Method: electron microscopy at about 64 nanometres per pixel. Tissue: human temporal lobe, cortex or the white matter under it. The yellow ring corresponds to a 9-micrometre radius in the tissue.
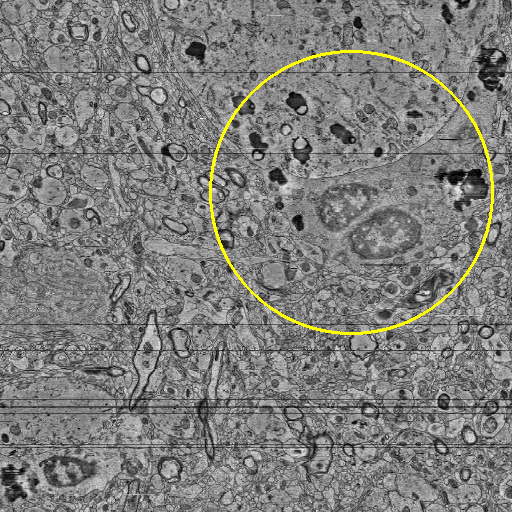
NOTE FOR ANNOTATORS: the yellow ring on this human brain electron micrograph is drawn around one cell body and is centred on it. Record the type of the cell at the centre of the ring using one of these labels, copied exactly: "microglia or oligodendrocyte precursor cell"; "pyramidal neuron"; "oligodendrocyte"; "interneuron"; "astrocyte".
oligodendrocyte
